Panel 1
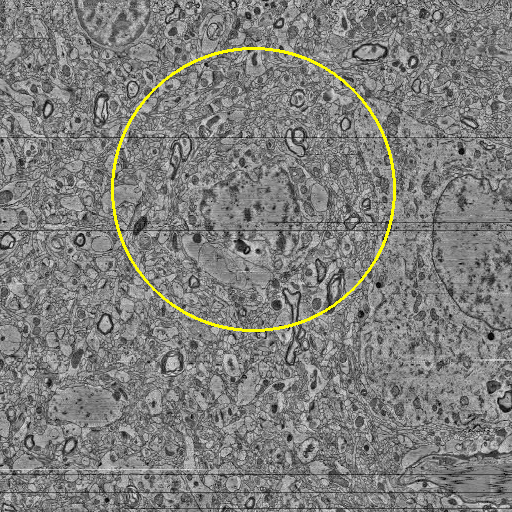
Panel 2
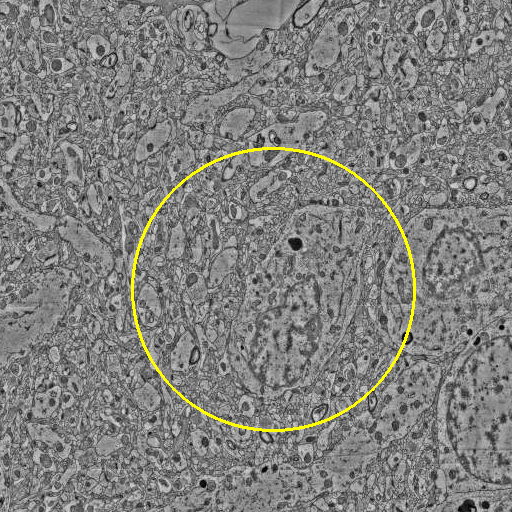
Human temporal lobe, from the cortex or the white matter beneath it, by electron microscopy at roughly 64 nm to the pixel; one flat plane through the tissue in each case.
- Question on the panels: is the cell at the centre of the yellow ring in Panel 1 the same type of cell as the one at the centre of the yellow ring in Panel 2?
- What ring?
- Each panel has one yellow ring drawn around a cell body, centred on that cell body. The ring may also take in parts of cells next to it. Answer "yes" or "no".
yes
